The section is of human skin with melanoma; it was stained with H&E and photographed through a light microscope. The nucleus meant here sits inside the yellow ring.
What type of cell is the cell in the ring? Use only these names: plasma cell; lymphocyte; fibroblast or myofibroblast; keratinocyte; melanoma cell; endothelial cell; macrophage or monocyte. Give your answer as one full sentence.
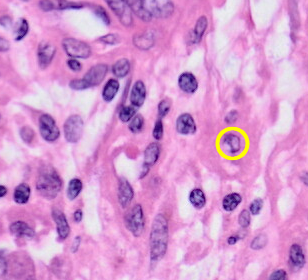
As for its identity, the cell in the ring is an endothelial cell.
